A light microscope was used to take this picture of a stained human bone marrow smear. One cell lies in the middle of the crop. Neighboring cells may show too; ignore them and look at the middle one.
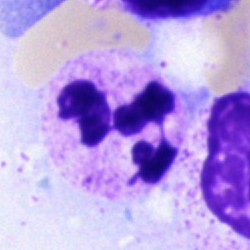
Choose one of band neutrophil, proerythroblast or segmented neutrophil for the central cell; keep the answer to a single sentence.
In this smear crop, the middle cell is a segmented neutrophil.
